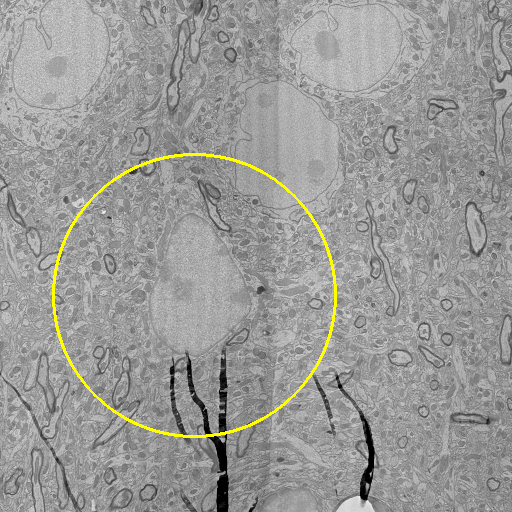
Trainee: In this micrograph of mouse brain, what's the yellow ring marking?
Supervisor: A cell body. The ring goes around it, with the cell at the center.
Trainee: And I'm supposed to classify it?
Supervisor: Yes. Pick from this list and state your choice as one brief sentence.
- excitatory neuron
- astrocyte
The cell at the ring's center is an astrocyte.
